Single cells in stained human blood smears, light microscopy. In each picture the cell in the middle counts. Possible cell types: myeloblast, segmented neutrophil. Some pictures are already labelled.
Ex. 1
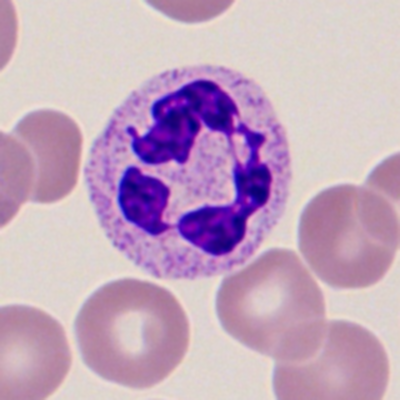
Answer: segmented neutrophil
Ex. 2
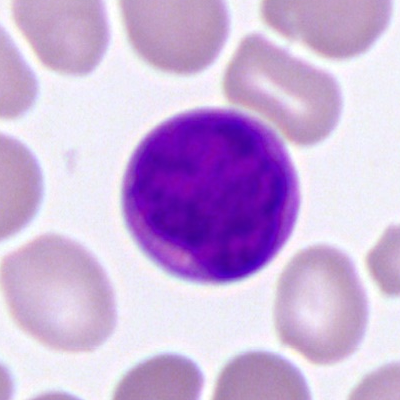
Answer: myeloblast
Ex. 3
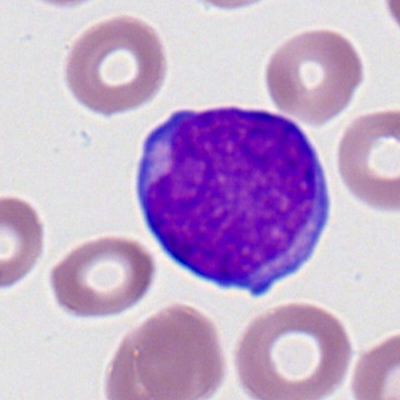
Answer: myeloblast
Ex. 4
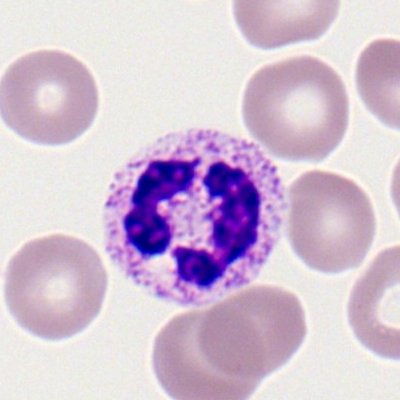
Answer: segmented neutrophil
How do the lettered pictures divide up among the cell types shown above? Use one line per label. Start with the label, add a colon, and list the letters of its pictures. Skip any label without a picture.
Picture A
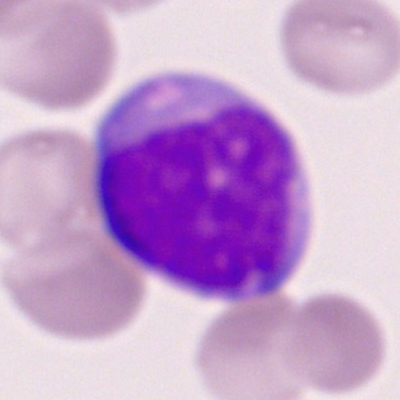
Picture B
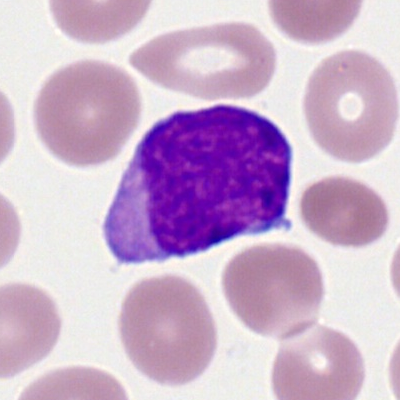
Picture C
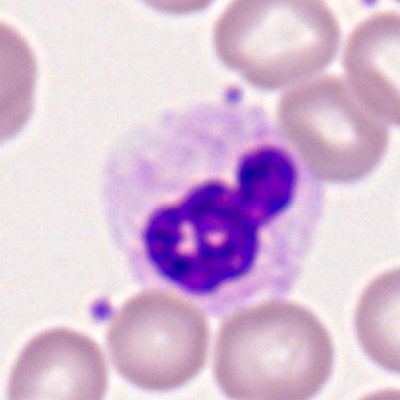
myeloblast: A, B
segmented neutrophil: C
